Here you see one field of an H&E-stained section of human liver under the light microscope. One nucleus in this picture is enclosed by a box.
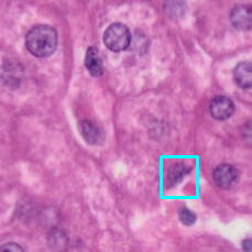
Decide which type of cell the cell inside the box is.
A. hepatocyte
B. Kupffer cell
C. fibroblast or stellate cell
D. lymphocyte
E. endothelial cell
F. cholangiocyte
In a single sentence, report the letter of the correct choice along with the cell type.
Option E is the right choice, for the cell inside the box is an endothelial cell.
